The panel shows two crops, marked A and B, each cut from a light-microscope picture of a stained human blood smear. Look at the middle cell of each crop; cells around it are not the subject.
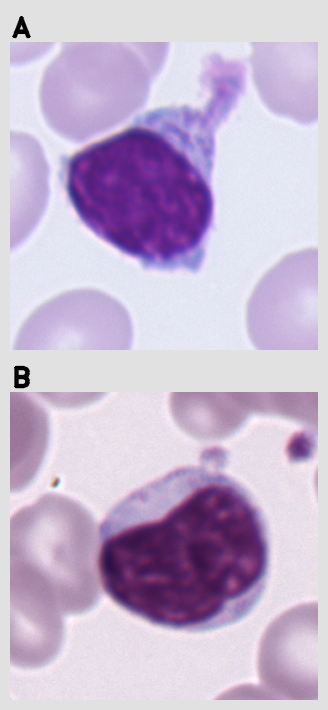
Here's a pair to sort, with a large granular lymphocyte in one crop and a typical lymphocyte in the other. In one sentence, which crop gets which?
Placed in the middle of crop A is a typical lymphocyte, and in the middle of crop B, a large granular lymphocyte.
